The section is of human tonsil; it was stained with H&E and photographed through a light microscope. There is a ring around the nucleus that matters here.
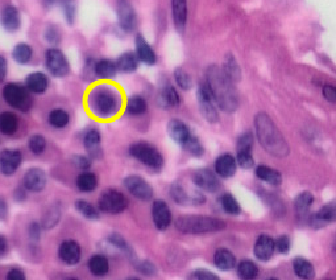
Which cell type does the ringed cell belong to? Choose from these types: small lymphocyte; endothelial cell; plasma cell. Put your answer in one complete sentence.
To be brief about it, the ringed cell is a plasma cell.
